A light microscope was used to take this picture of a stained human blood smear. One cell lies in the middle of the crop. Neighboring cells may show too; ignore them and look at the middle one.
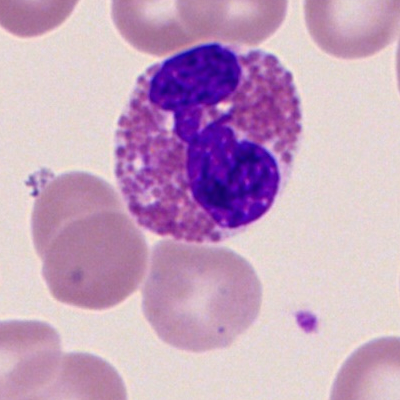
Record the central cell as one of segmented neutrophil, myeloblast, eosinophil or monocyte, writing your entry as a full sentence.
Regarding the central cell, it is an eosinophil.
